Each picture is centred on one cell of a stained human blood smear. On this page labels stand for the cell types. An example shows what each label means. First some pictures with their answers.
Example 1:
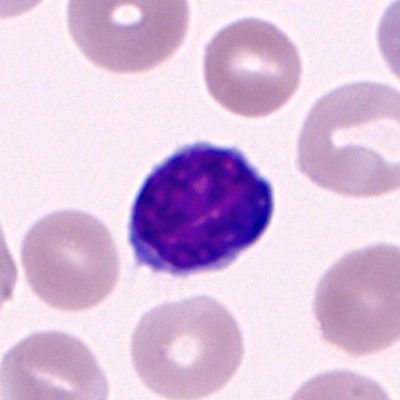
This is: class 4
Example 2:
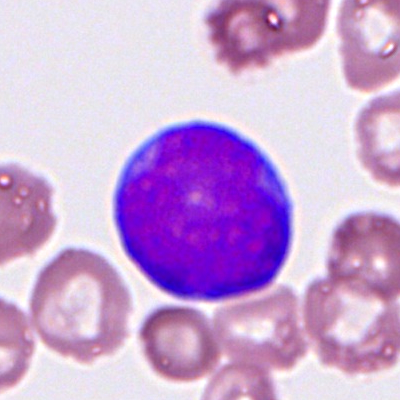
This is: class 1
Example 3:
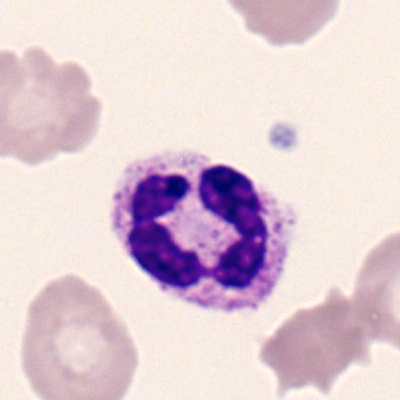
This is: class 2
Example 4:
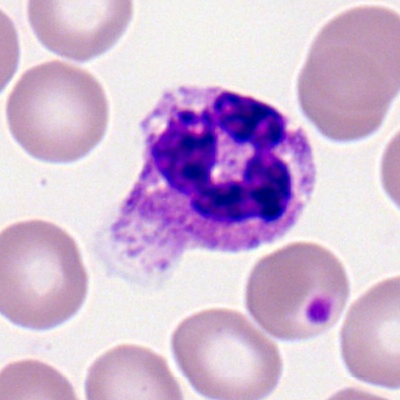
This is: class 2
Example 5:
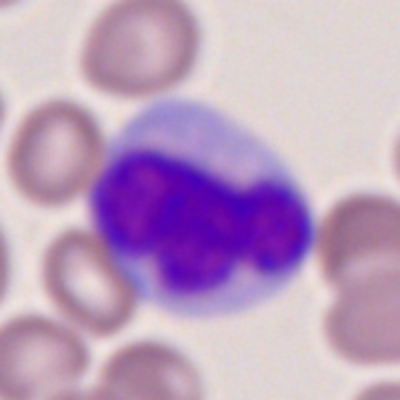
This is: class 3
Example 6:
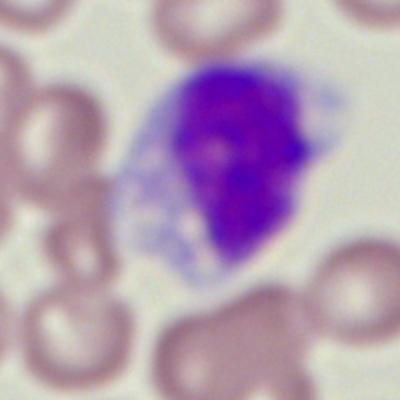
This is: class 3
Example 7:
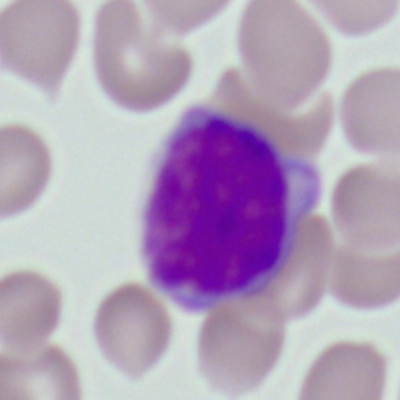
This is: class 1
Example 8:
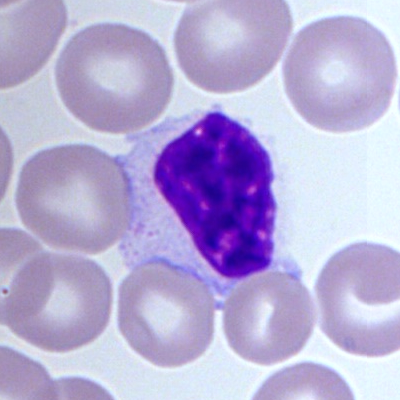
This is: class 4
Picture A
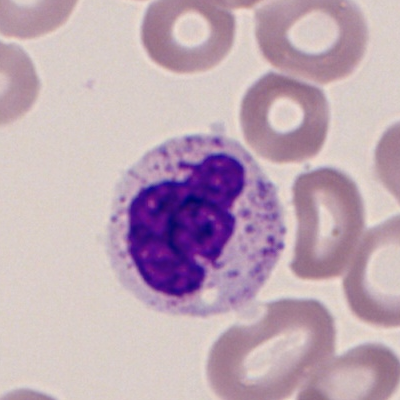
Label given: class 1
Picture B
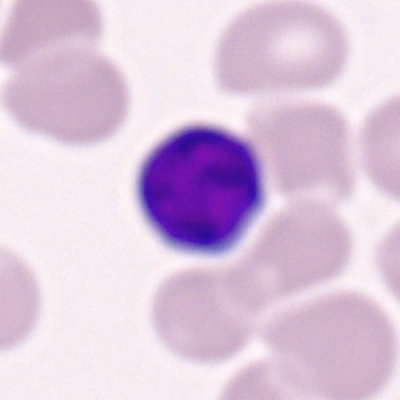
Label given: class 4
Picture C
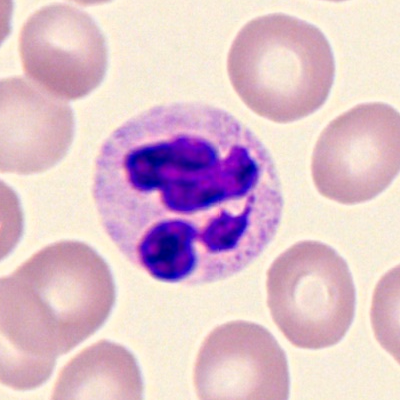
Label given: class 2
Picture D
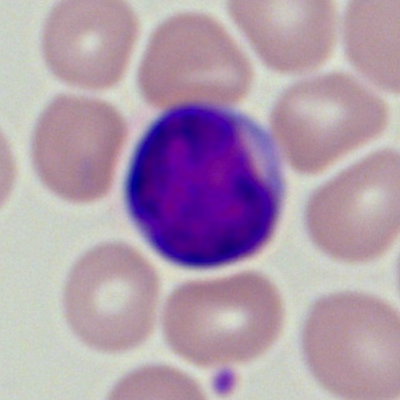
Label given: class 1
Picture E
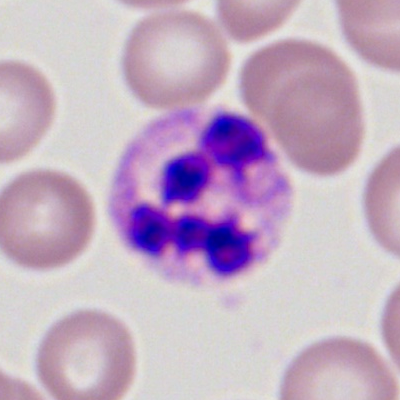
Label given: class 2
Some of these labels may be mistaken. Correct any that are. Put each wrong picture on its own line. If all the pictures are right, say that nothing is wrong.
Wrong: A (class 1); correct: class 2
